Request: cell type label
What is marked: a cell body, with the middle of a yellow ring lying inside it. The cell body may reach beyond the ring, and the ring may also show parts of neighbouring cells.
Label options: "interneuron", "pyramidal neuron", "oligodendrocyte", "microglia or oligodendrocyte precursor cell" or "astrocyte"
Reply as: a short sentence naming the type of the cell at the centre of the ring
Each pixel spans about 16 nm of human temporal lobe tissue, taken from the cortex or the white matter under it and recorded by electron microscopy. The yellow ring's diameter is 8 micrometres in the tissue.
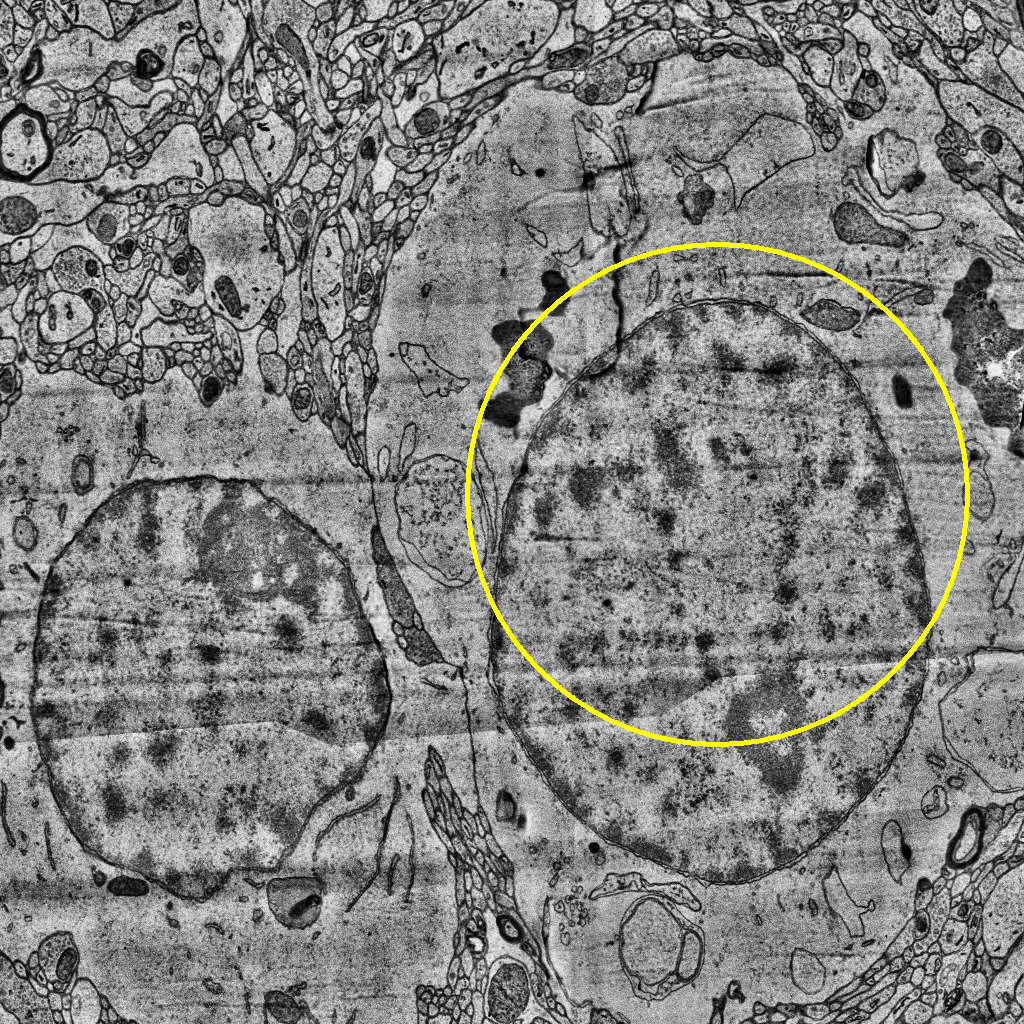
The marked cell body is that of an astrocyte.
